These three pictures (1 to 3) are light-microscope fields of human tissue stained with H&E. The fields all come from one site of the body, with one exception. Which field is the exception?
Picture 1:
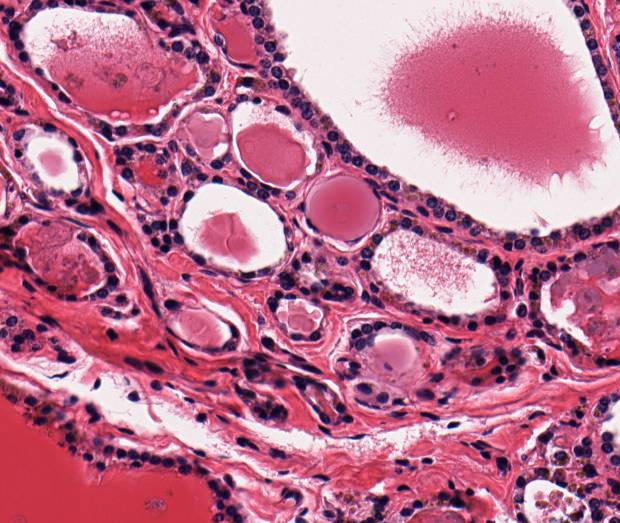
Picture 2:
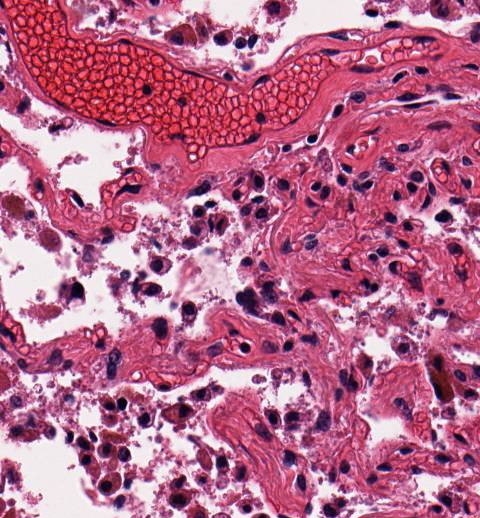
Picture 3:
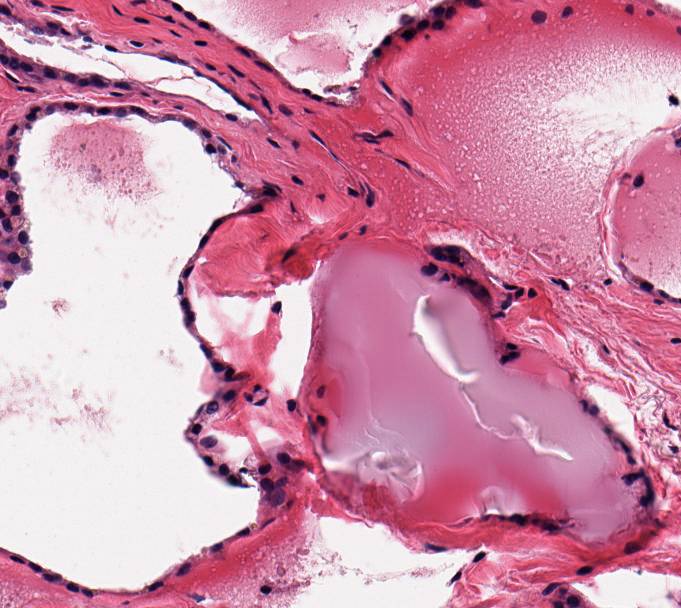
2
